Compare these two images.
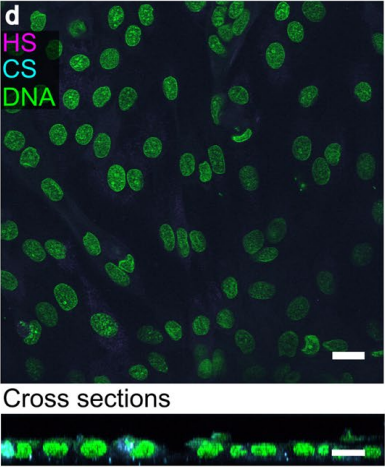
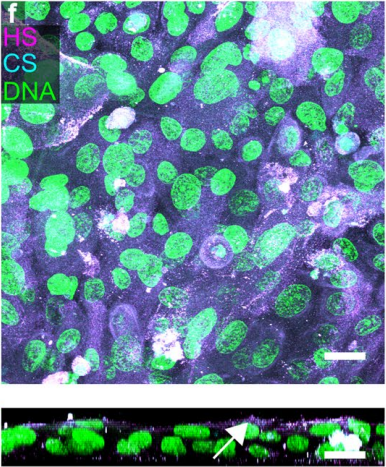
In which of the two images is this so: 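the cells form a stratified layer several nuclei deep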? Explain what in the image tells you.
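Second image: the cross section shows green nuclei stacked in more than one layer. First image: the cross section shows a single row of green nuclei. The answer: the second image.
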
